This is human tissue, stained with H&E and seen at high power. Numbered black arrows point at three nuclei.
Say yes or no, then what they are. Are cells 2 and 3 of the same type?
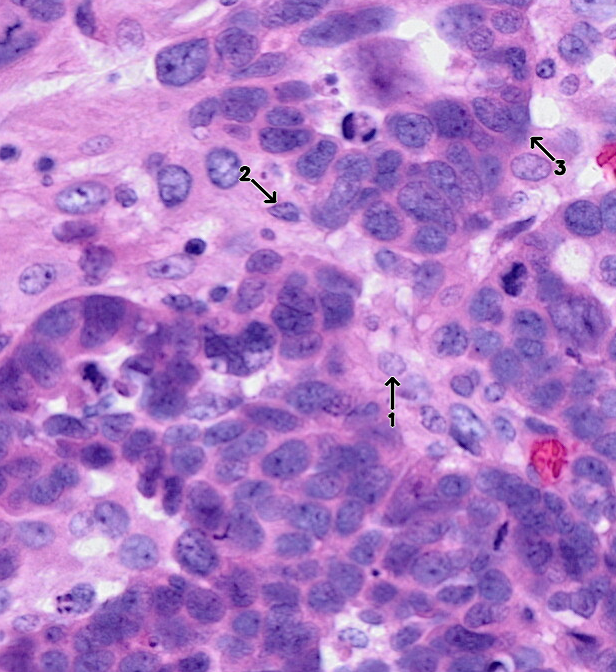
No, cell 2 is a macrophage or monocyte and cell 3 is a carcinoma cell.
